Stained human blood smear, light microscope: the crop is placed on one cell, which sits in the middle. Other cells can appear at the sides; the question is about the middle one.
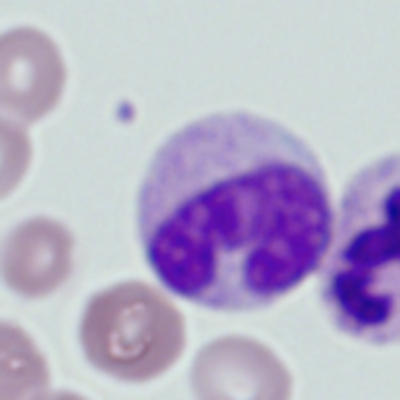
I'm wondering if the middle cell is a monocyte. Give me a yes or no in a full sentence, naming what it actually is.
Yes, the cell sitting in the center is a monocyte.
